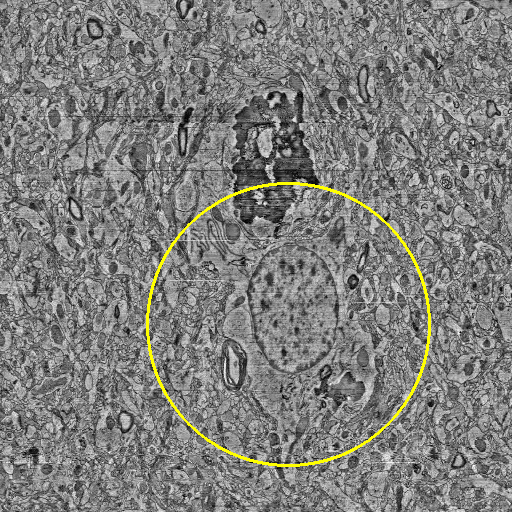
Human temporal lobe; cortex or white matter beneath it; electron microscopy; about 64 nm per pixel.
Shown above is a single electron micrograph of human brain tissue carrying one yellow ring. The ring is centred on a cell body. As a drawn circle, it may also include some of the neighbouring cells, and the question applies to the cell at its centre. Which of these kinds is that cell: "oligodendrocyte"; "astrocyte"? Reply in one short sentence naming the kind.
The cell marked by the ring is an astrocyte.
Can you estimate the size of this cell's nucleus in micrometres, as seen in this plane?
Clearly longer than it is wide in this plane, the nucleus measures roughly 9 by 6 micrometres.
